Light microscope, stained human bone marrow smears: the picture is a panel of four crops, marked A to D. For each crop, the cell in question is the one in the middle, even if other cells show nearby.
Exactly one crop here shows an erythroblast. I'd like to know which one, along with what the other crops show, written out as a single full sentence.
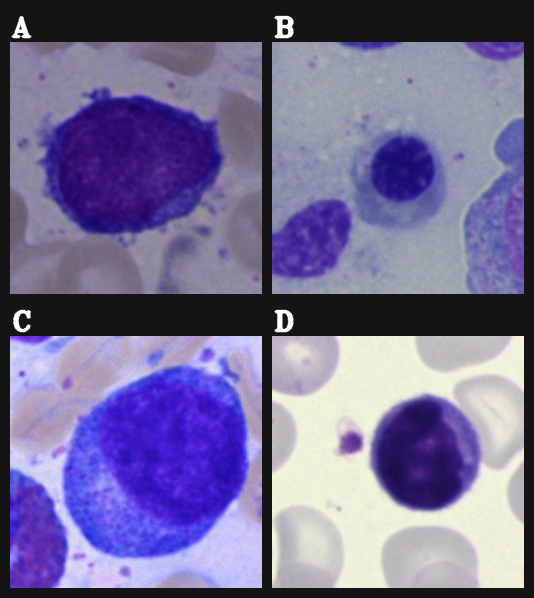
Among these crops, crop B shows an erythroblast, while crop A is a blast, crop C is a promyelocyte and crop D is a lymphocyte.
